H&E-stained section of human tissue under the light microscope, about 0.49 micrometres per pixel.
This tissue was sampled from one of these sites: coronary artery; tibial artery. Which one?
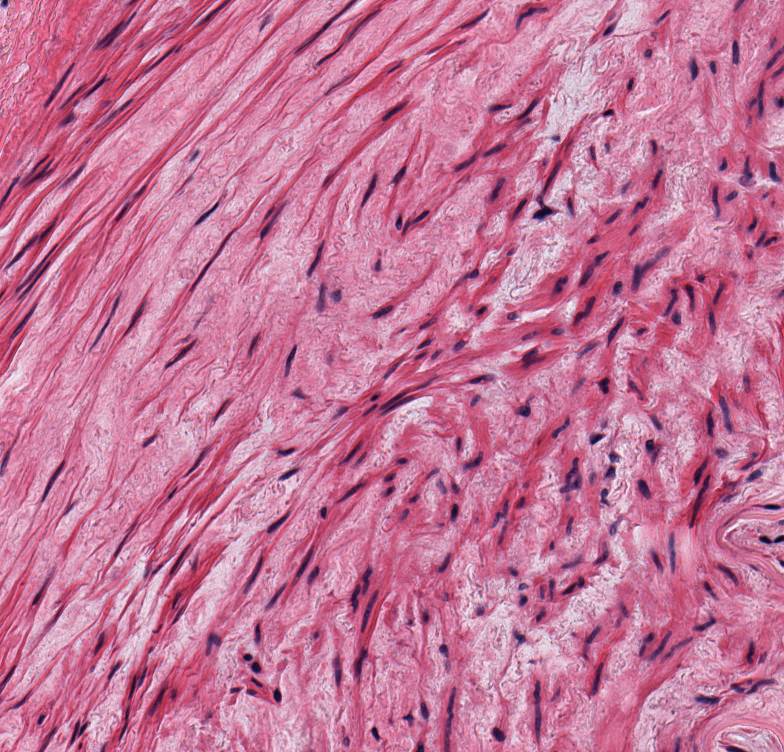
tibial artery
